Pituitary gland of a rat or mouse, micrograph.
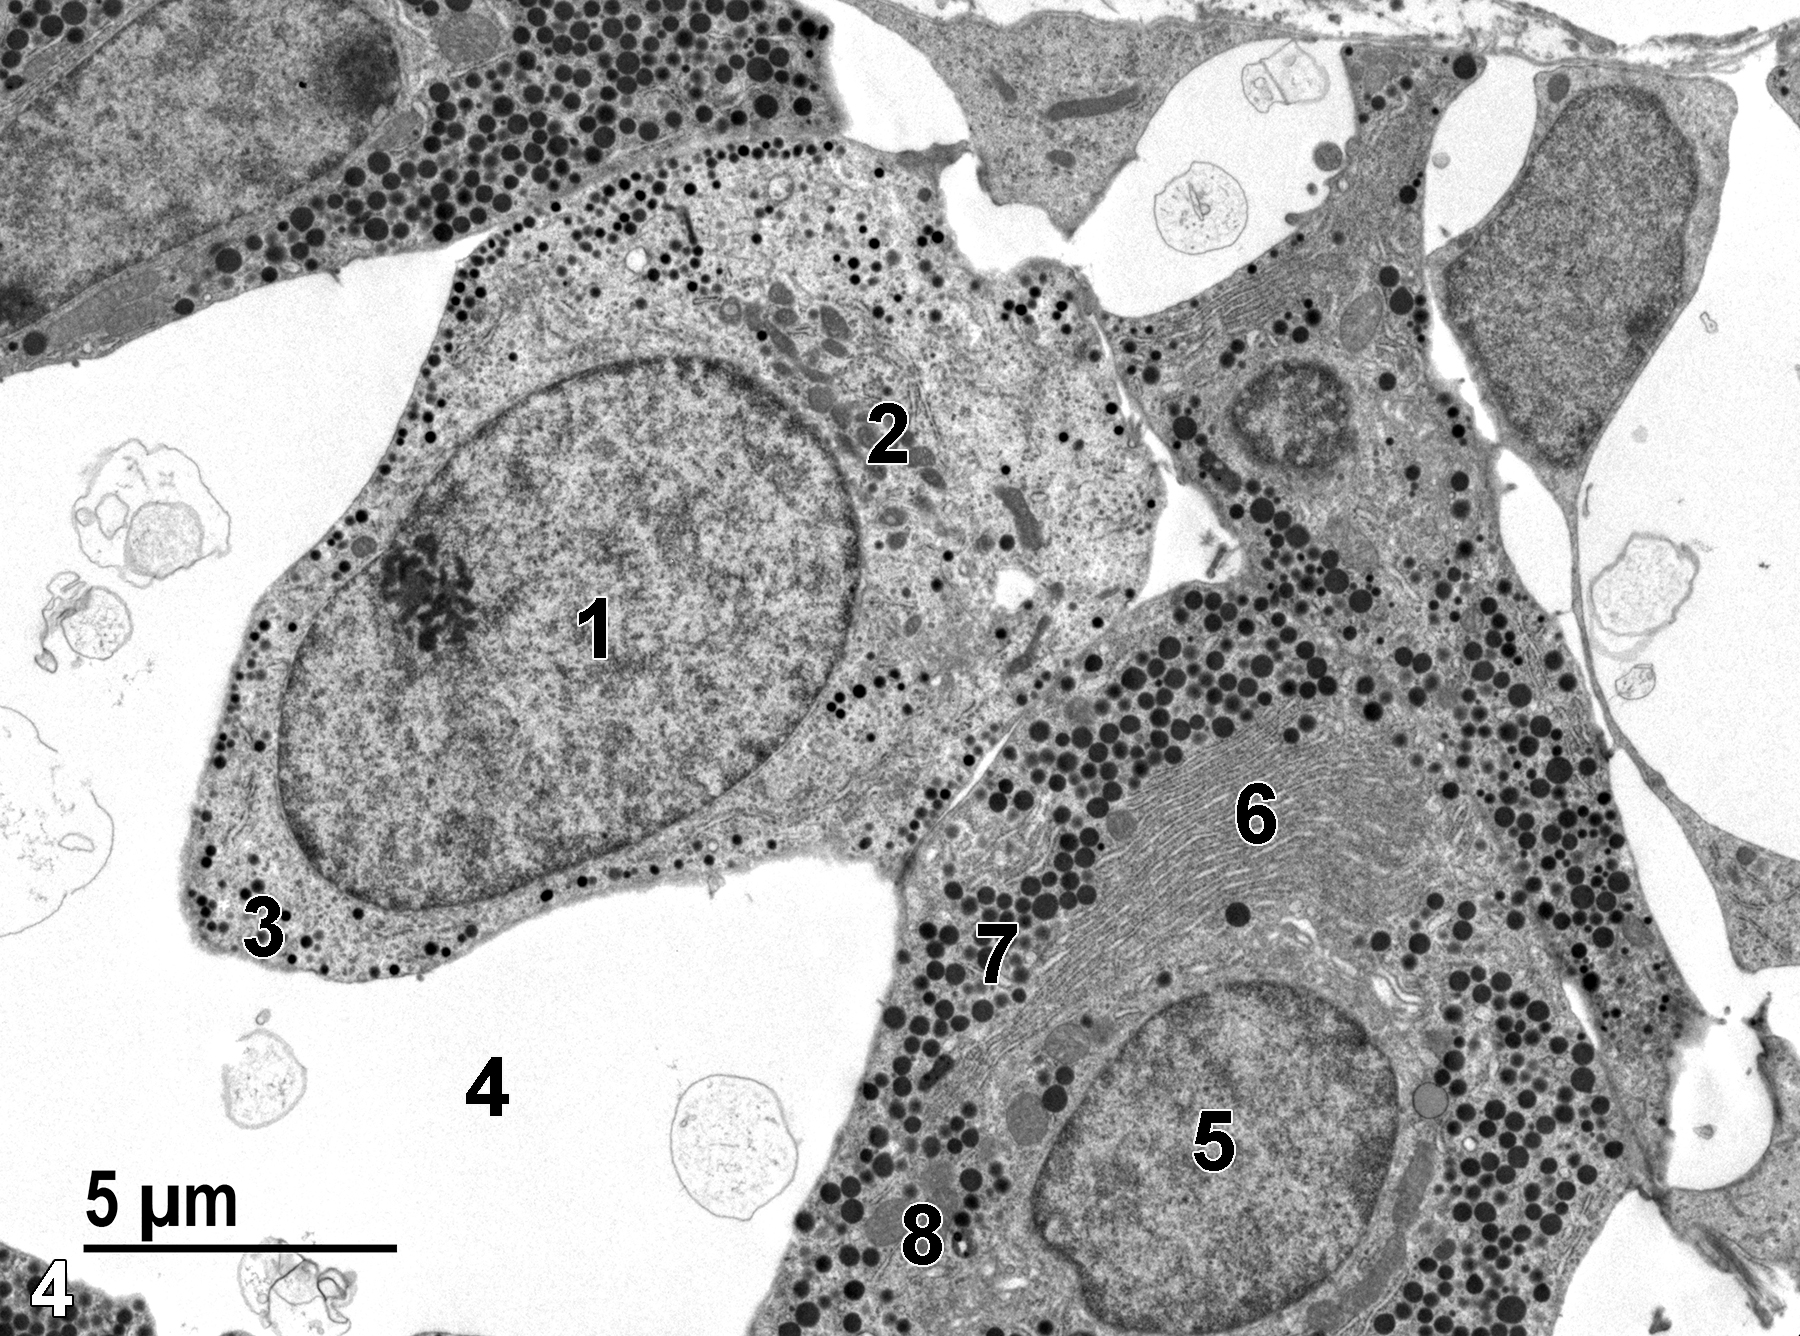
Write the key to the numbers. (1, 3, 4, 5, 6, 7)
1. corticotrophic cell
3. small secretory granules
4. intercellular space
5. round nucleus
6. rough endoplasmic reticulum
7. secretory granules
